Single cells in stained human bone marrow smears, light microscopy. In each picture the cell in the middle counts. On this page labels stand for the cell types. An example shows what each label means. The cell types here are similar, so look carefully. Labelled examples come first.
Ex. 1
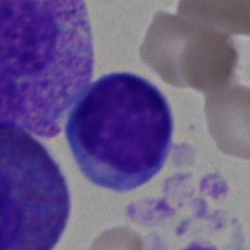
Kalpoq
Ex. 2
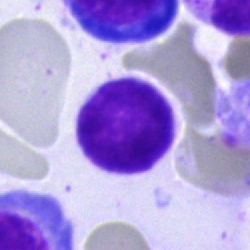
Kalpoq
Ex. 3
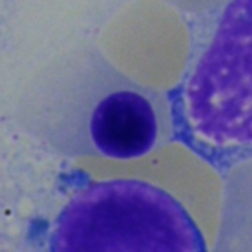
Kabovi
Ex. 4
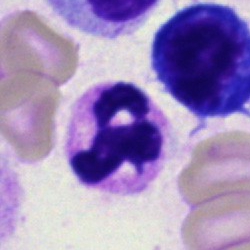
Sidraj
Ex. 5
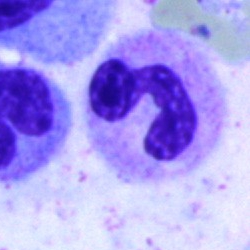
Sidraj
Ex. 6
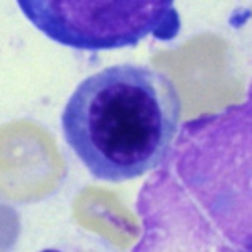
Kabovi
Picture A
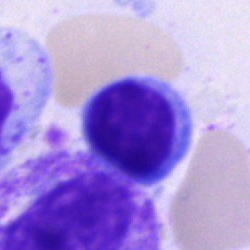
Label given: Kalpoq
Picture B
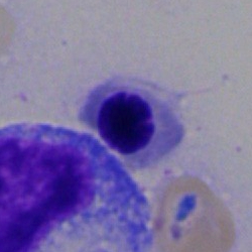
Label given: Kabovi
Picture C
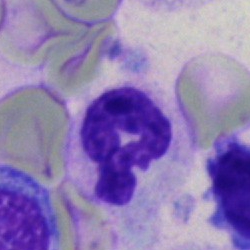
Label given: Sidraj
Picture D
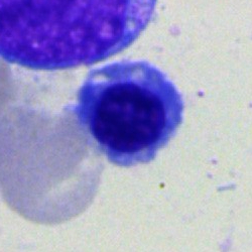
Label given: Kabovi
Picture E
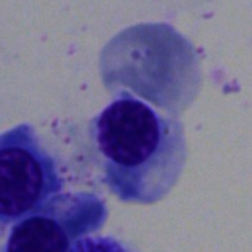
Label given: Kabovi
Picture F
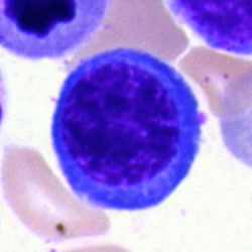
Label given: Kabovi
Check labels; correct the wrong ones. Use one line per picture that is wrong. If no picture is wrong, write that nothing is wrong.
No label is wrong.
